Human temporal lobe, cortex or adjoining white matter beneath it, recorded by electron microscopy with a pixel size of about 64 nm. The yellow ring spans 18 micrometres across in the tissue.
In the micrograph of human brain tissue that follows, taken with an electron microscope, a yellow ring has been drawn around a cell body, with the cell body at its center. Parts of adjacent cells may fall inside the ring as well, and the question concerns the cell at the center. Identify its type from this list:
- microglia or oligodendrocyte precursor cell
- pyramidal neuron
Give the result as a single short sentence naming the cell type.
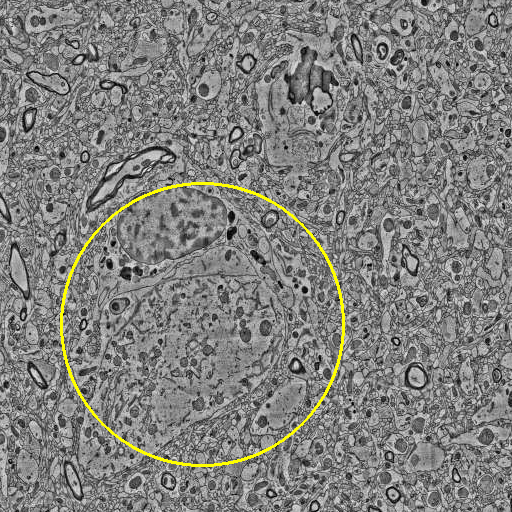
The ring is centered on a pyramidal neuron.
